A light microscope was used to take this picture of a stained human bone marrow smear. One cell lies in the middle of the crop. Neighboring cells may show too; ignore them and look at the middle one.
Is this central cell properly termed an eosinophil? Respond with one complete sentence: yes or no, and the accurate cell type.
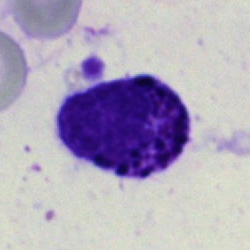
No, the central cell is not an eosinophil; it is a basophil.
